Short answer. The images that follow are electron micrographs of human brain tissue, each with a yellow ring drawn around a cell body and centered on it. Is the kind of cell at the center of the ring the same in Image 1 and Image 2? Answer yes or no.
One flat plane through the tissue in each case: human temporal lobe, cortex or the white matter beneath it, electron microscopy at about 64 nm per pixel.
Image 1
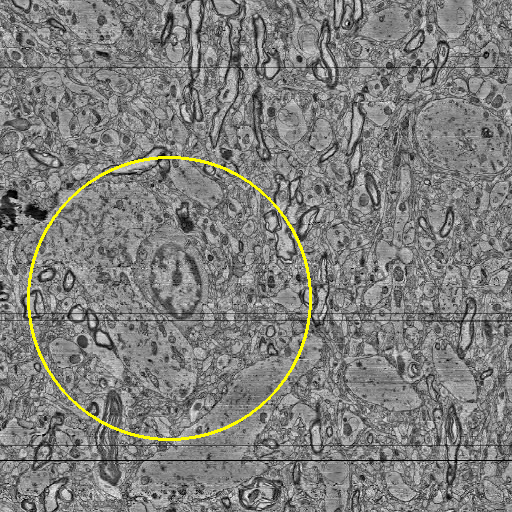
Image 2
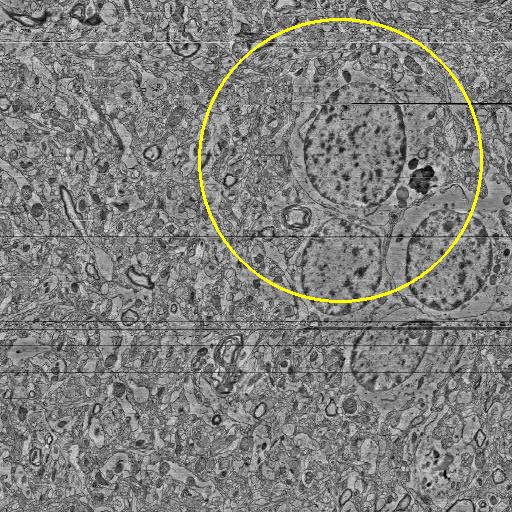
no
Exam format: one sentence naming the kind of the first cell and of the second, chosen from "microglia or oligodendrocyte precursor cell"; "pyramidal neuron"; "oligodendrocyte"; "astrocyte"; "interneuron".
The first picture's cell is an oligodendrocyte, and the second picture's cell is an astrocyte.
